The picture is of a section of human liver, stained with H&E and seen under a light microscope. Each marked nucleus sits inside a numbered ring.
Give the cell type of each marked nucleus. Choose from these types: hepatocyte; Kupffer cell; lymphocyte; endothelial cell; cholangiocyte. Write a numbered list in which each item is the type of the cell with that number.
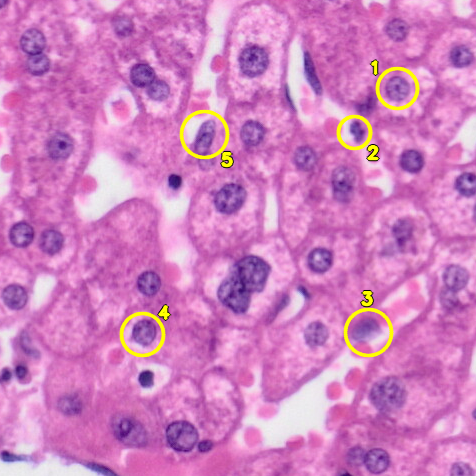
1. hepatocyte
2. lymphocyte
3. endothelial cell
4. hepatocyte
5. Kupffer cell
